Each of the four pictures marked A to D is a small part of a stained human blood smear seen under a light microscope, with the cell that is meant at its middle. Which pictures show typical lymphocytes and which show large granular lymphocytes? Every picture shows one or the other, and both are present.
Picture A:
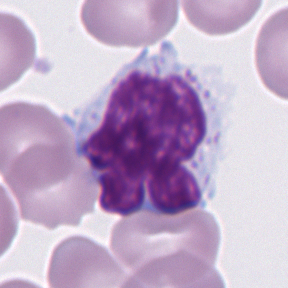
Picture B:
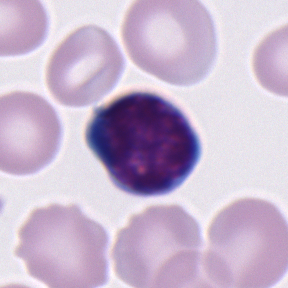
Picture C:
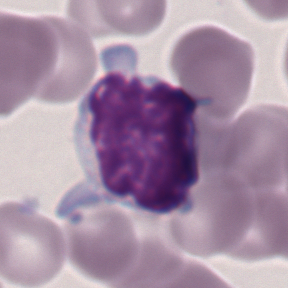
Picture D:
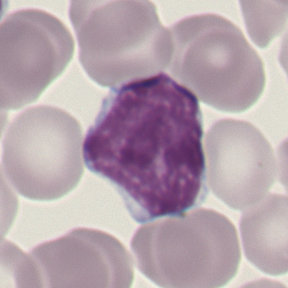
A: large granular lymphocyte
B: typical lymphocyte
C: large granular lymphocyte
D: typical lymphocyte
